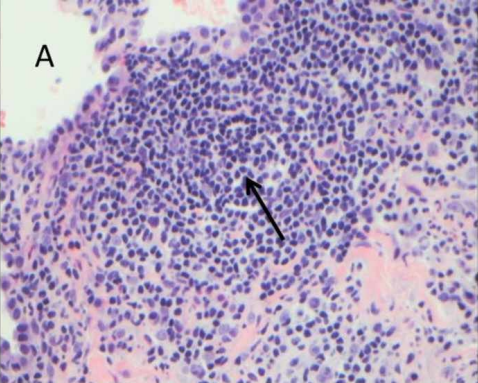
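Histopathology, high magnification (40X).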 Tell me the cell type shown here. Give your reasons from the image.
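Sheets of small round cells with dark, round nuclei and scant cytoplasm. The cells lie densely packed within pink stroma.
Answer: lymphocytes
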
